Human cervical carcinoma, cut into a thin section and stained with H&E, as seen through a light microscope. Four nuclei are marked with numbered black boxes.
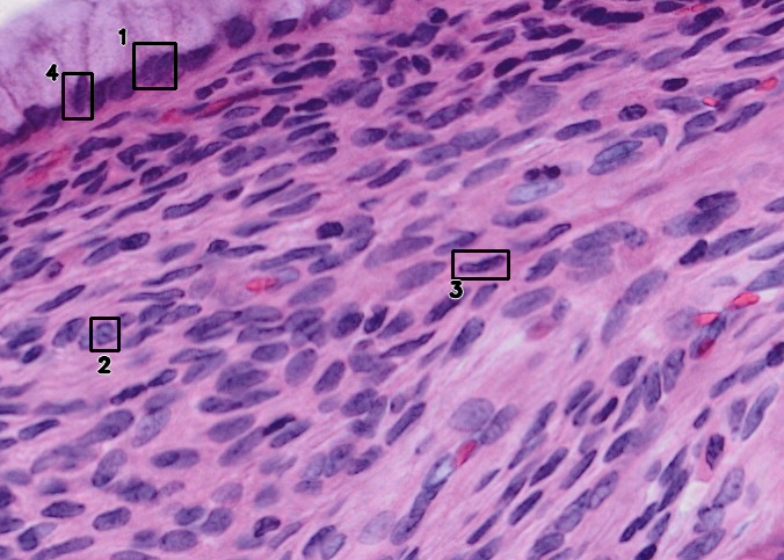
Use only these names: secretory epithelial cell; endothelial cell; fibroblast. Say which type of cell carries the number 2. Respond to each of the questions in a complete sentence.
The cell to which the number 2 is assigned is an endothelial cell.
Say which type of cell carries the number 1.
The cell tagged with 1 in this tissue section is a secretory epithelial cell.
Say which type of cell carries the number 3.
In this section, number 3 marks a fibroblast.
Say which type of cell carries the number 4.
The cell referenced by the number 4 is a secretory epithelial cell in this field.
